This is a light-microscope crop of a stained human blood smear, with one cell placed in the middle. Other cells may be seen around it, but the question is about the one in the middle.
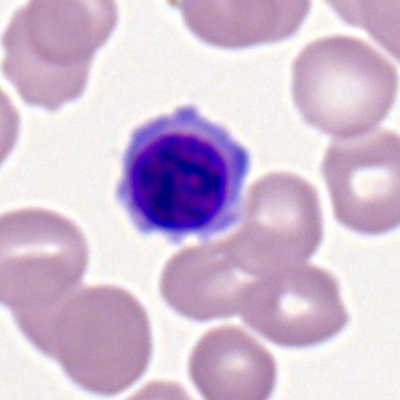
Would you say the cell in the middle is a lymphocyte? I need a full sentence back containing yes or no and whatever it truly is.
No, the centre of the crop is taken up by an erythroblast, not a lymphocyte.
